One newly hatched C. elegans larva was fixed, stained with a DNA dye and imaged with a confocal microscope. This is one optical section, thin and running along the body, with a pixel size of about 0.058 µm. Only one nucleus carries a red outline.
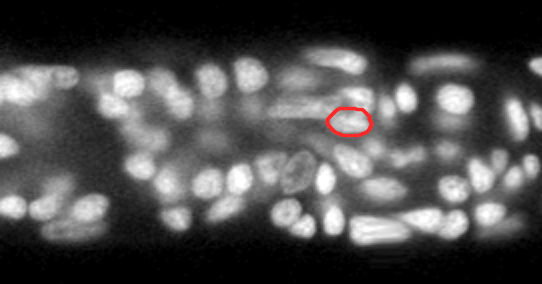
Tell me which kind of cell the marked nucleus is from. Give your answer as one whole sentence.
This nucleus is from a pharyngeal muscle cell.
